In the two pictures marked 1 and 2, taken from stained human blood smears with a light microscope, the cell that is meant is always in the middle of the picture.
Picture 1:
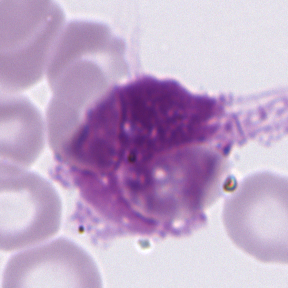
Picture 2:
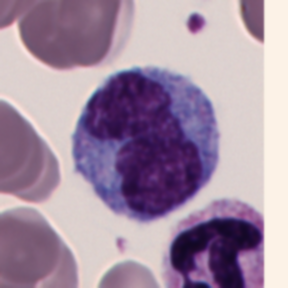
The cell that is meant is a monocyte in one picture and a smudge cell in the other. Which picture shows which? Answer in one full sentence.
The cell in picture 1 is a smudge cell, and the one in picture 2 is a monocyte.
